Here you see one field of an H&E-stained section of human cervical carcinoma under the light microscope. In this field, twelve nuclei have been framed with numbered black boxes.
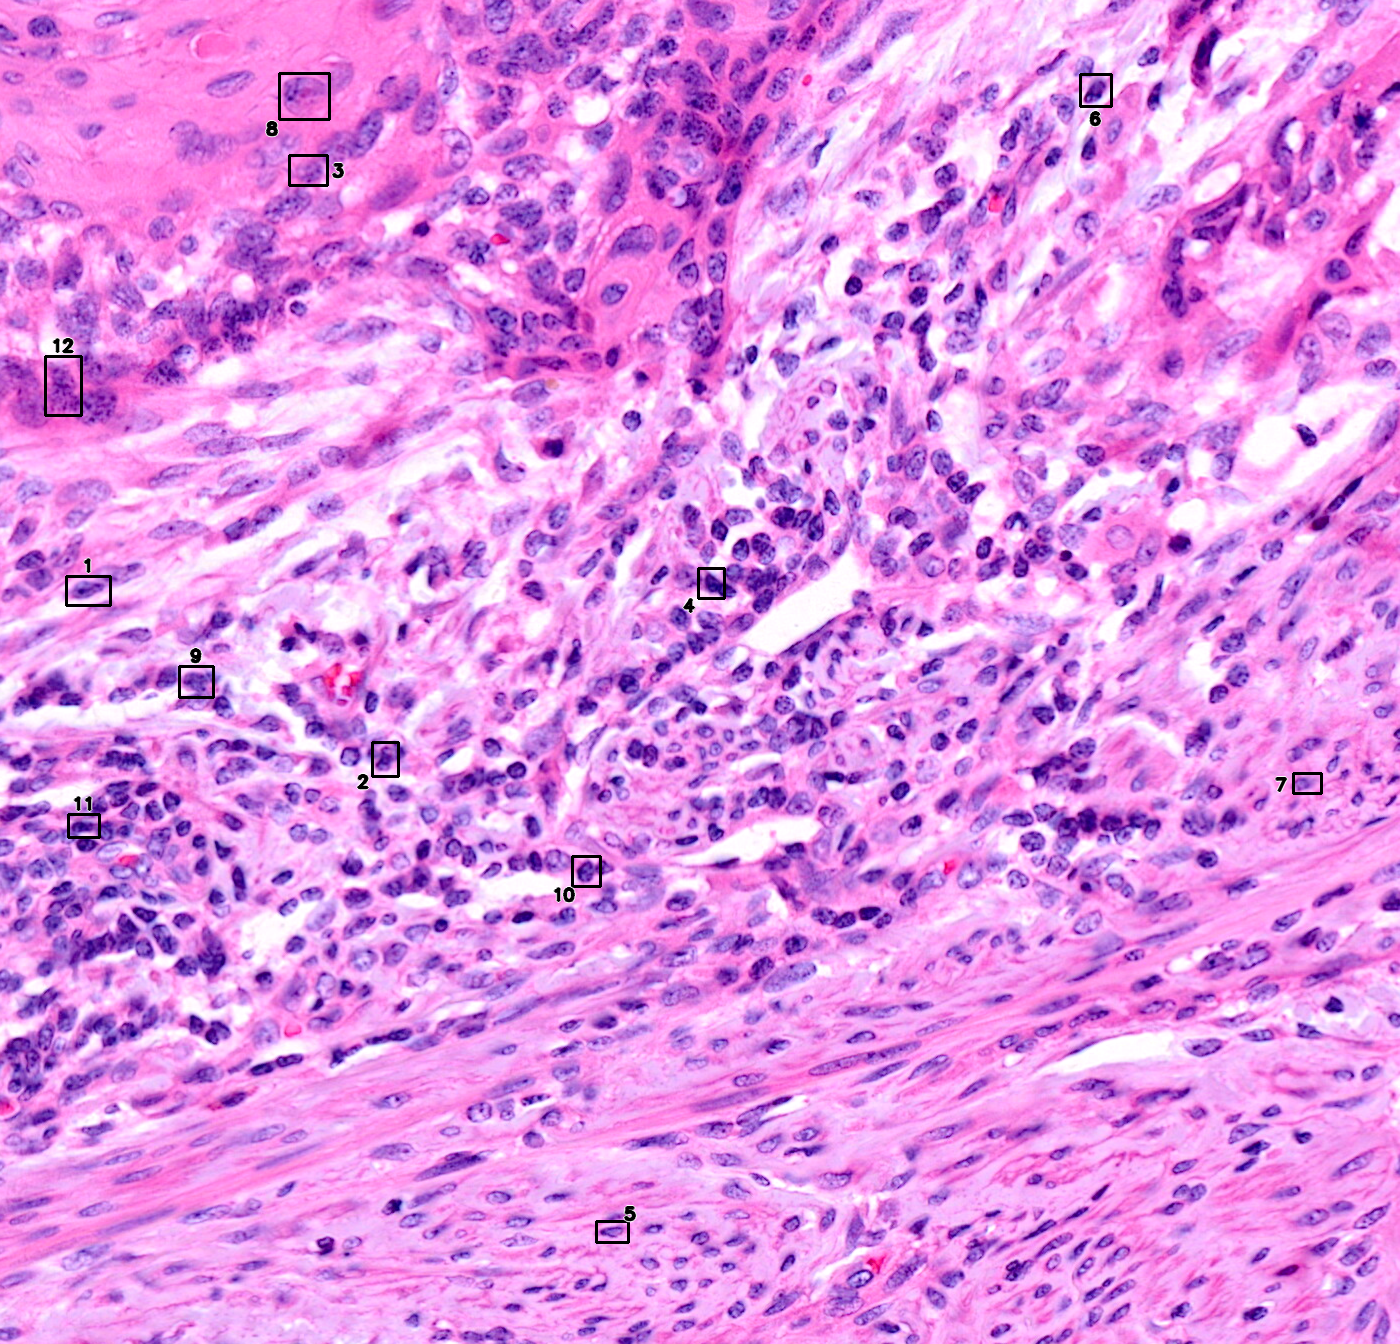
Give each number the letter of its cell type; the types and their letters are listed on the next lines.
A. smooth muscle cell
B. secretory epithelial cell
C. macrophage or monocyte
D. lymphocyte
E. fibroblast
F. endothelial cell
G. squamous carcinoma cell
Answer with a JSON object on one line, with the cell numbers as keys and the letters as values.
{"1": "D", "2": "D", "3": "G", "4": "D", "5": "A", "6": "D", "7": "A", "8": "G", "9": "D", "10": "D", "11": "D", "12": "G"}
